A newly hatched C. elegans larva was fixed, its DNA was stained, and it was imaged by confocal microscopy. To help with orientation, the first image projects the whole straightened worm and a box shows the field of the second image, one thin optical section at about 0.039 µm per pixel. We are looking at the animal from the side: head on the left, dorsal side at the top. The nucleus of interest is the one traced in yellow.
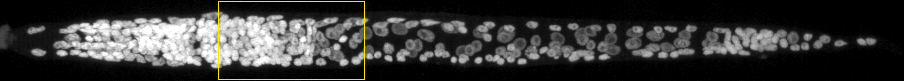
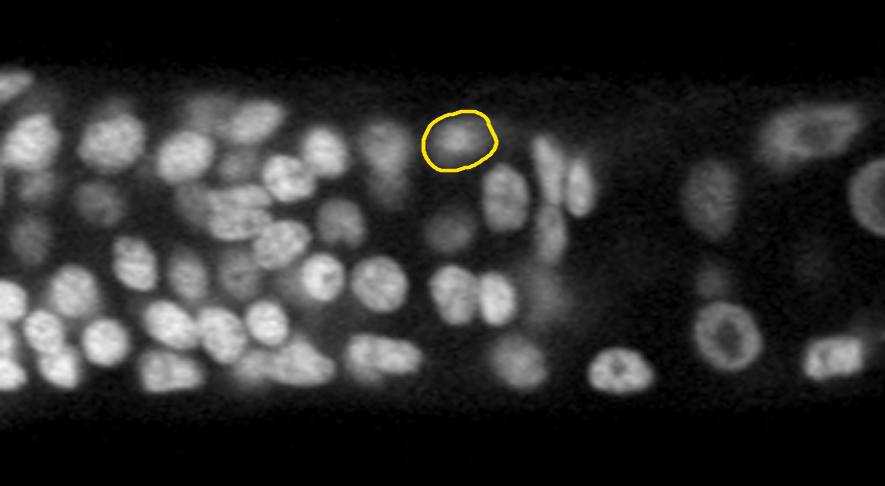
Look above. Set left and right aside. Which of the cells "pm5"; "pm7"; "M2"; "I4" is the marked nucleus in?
pm7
